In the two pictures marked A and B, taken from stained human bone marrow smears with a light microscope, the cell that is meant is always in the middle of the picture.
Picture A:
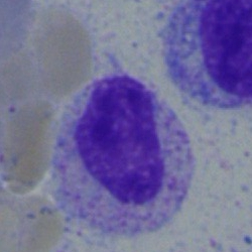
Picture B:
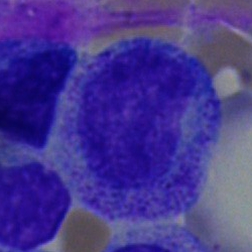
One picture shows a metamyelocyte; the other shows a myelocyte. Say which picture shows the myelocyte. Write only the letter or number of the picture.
A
